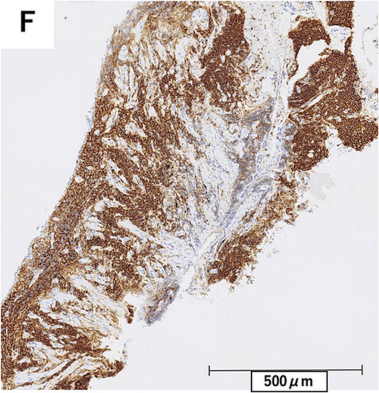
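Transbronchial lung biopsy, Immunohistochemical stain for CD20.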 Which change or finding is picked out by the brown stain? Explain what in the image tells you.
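Lymphocytic infiltration. Large confluent brown-stained areas of densely cellular tissue. Pale blue stroma lies between the brown areas.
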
